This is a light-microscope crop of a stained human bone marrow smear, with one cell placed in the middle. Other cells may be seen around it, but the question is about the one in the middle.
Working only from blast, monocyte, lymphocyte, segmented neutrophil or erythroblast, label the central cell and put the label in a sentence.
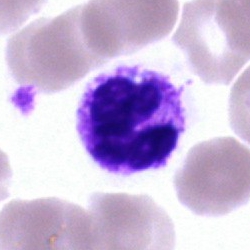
The target cell in the middle of the crop is a segmented neutrophil.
